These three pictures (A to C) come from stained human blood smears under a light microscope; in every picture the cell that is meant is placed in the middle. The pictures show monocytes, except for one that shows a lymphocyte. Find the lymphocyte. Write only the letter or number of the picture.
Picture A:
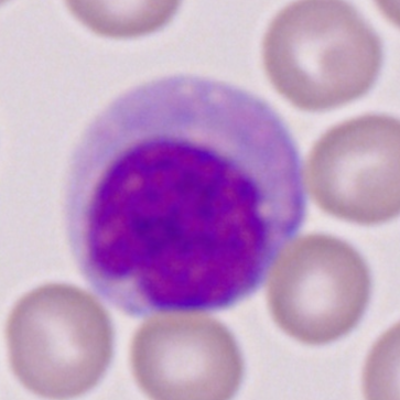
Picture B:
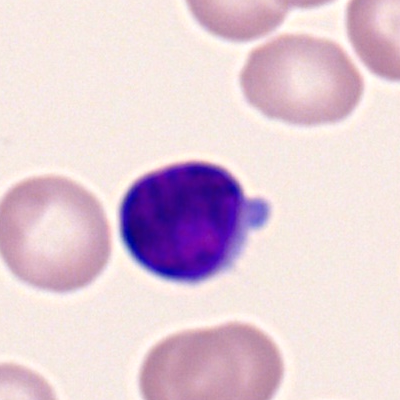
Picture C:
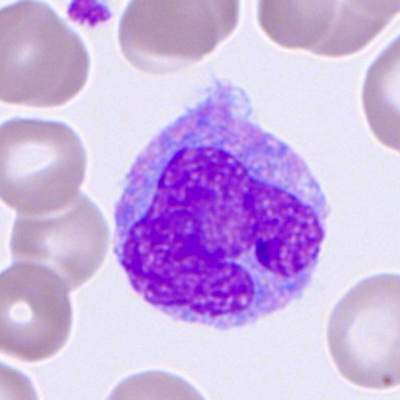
B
